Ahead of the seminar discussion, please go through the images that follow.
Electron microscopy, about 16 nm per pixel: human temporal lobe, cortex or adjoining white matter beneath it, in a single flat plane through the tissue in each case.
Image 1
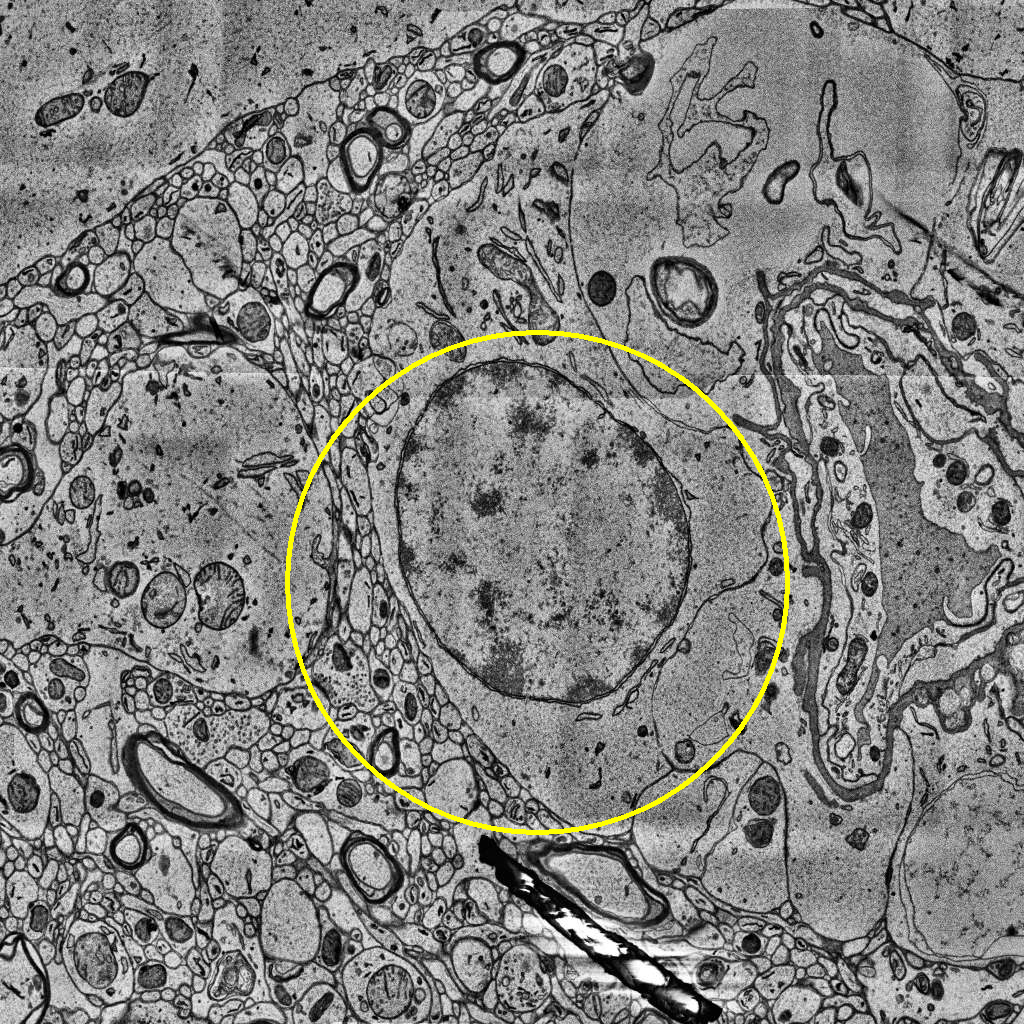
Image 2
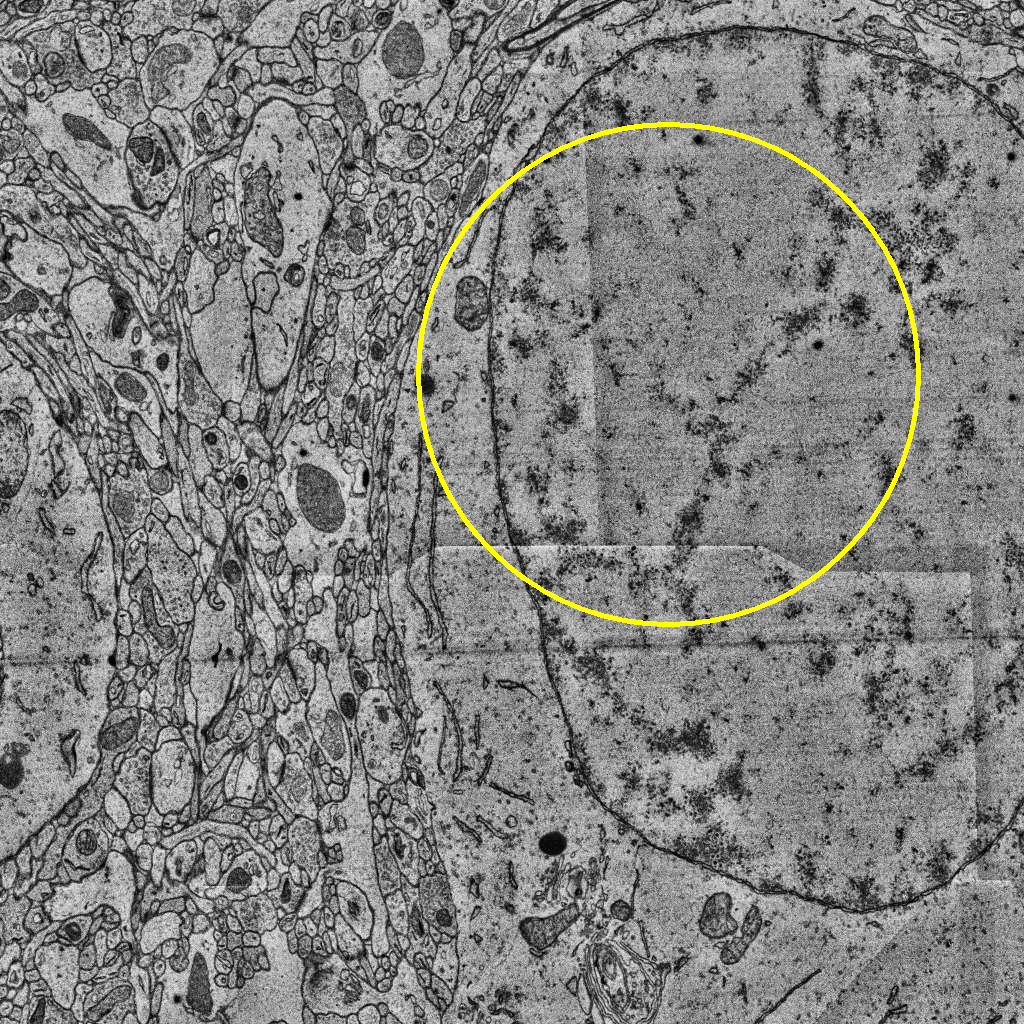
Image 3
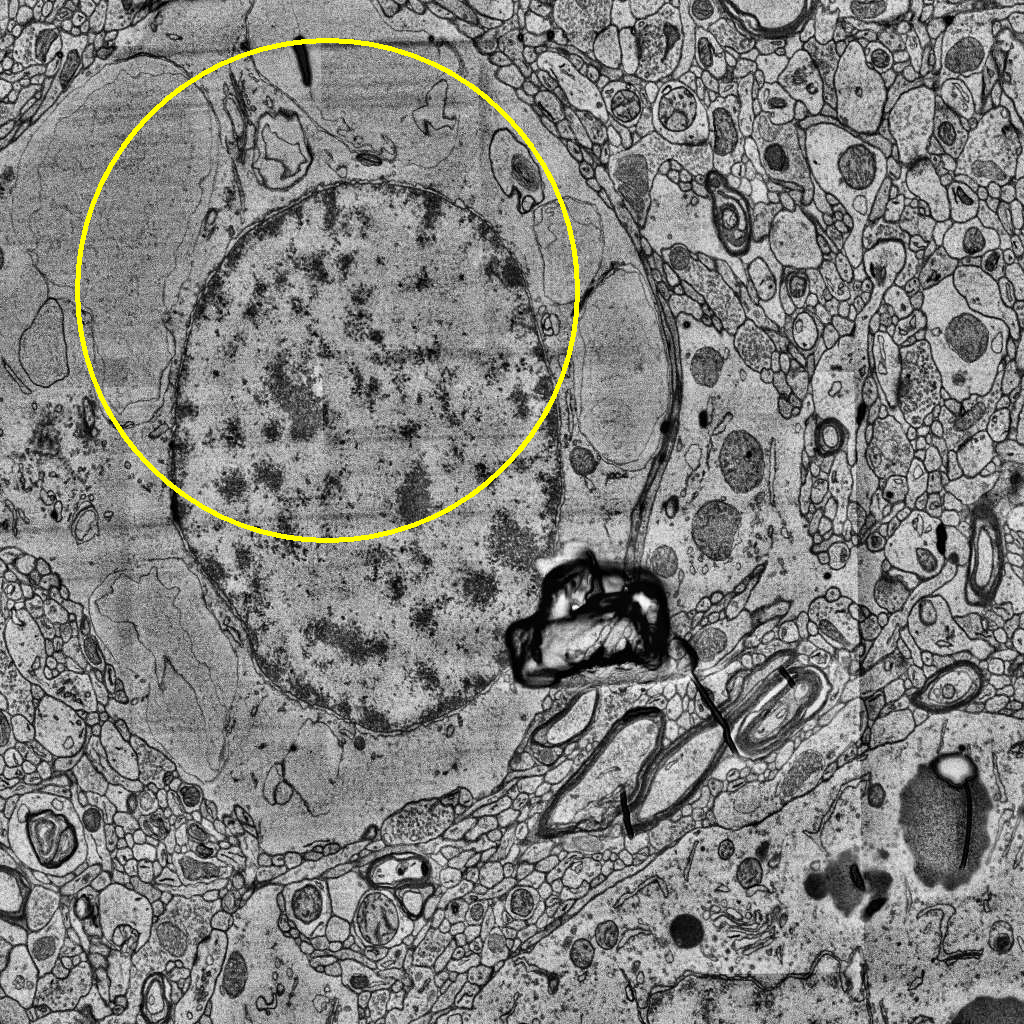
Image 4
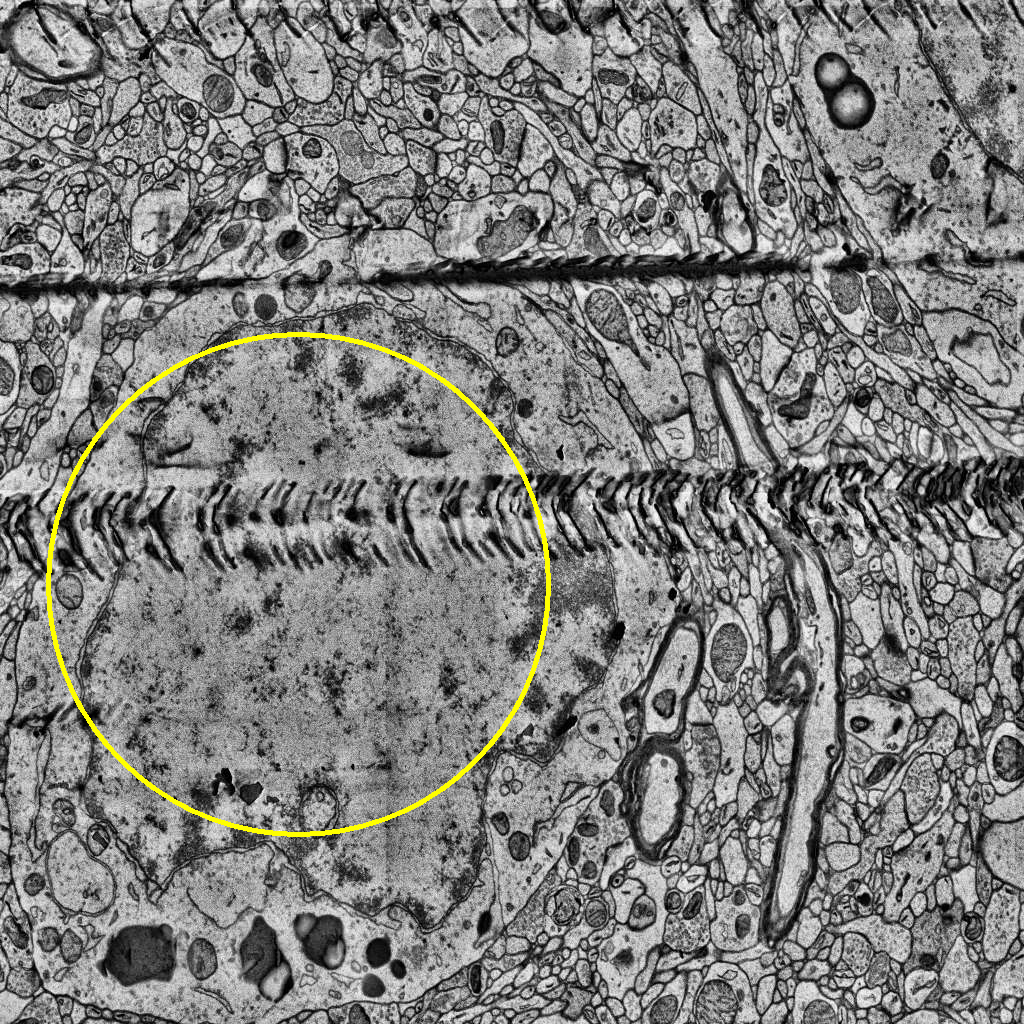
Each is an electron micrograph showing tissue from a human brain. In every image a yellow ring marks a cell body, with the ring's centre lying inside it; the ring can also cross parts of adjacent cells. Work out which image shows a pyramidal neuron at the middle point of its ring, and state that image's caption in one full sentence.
In Image 2, the ring's centre lies within the cell you are looking for.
